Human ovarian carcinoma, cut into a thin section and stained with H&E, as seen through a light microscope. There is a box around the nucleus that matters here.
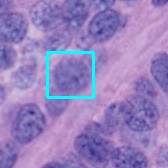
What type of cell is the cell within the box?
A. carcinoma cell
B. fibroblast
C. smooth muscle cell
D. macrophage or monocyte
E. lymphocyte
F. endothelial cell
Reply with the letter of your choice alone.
A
